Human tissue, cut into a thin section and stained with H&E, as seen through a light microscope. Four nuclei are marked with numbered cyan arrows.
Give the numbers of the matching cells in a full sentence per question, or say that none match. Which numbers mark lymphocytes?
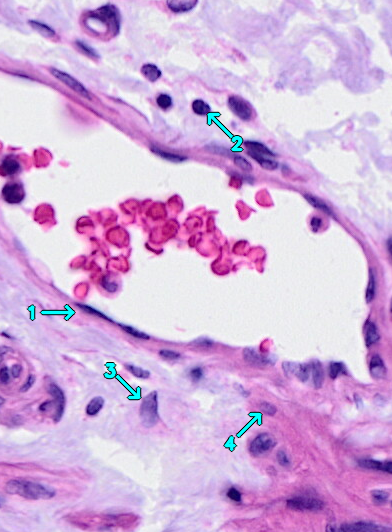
Of the marked cells, the one numbered 2 is a lymphocyte and the rest are not.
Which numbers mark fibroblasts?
The numbered cell that is a fibroblast is cell 3, and it is the only one.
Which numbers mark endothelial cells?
Cell 1 represents an endothelial cell, and no other numbered cell does.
